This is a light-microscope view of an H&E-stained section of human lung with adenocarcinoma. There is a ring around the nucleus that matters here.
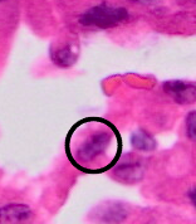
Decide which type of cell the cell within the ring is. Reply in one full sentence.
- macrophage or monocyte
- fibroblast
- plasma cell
It is as a macrophage or monocyte that the cell within the ring is recorded.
